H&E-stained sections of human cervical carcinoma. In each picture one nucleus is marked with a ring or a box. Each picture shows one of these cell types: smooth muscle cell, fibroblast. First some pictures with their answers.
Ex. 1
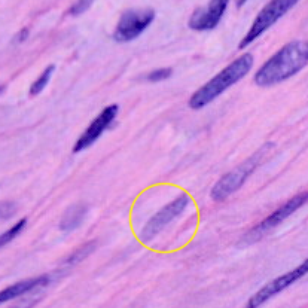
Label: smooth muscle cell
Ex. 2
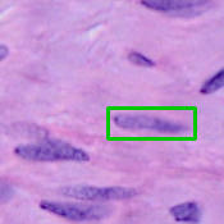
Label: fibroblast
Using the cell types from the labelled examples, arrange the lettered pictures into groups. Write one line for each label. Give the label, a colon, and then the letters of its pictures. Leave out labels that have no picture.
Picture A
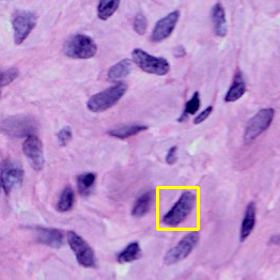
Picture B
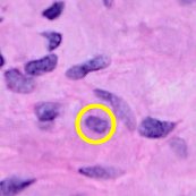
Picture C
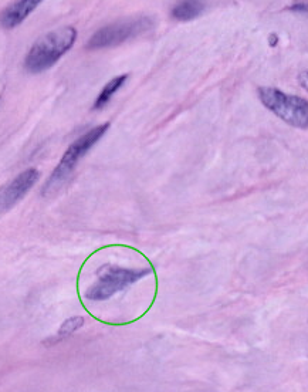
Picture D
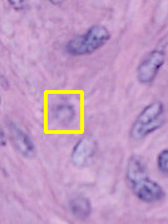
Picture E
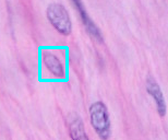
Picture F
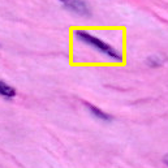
smooth muscle cell: D, E
fibroblast: A, B, C, F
